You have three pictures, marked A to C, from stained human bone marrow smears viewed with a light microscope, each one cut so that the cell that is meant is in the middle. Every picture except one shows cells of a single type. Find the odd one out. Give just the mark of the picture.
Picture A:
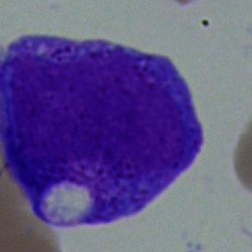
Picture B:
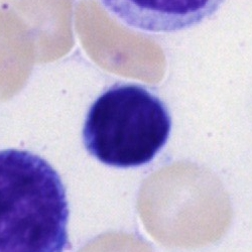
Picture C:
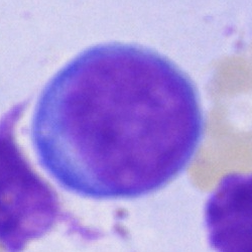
B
